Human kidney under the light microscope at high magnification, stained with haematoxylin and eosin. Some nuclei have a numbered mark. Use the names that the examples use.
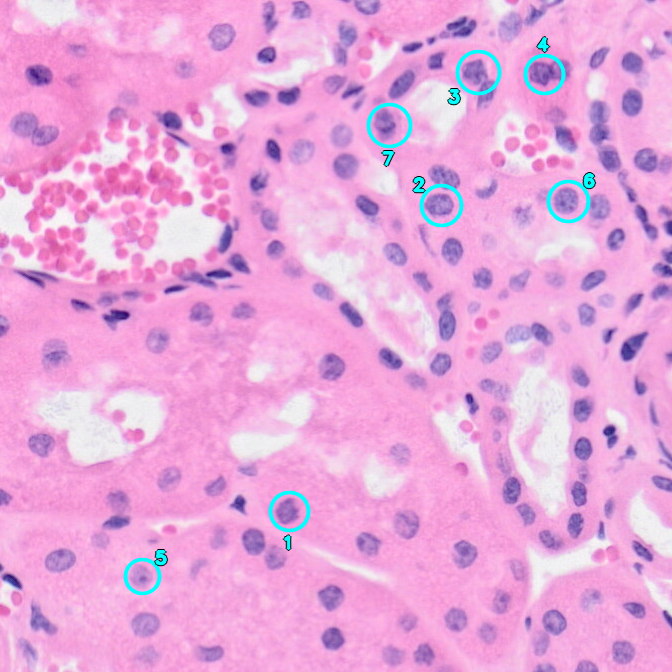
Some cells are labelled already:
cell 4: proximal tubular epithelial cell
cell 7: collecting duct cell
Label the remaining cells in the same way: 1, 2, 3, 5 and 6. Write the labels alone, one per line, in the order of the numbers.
proximal tubular epithelial cell
collecting duct cell
collecting duct cell
proximal tubular epithelial cell
collecting duct cell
